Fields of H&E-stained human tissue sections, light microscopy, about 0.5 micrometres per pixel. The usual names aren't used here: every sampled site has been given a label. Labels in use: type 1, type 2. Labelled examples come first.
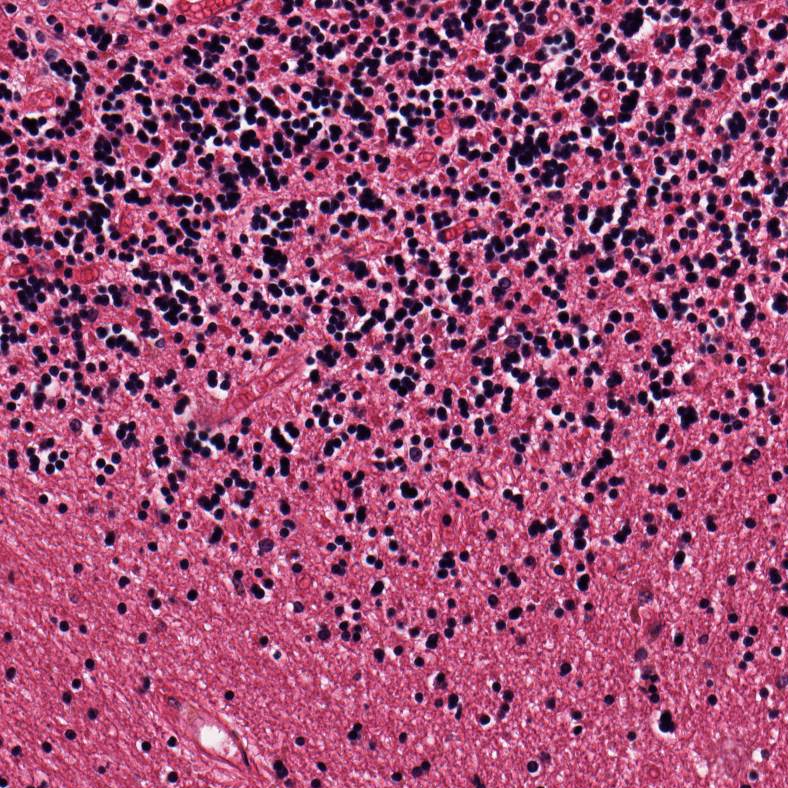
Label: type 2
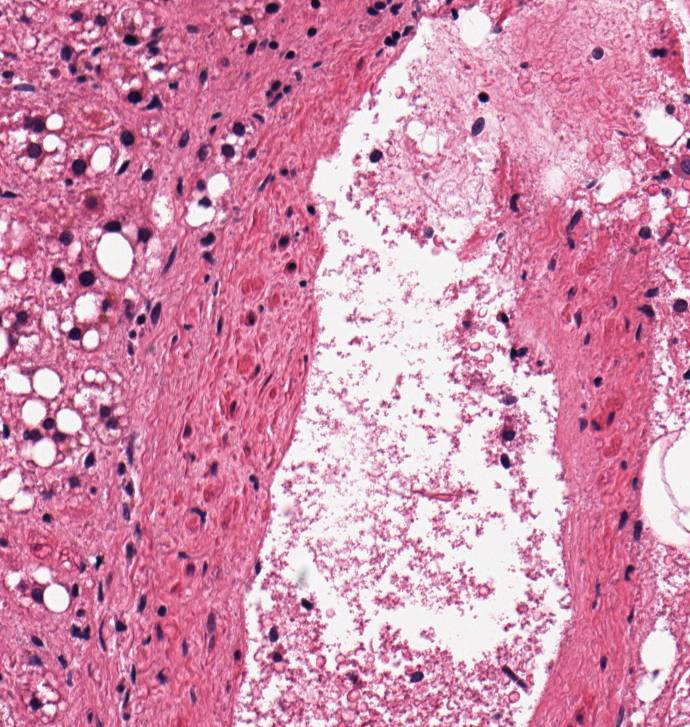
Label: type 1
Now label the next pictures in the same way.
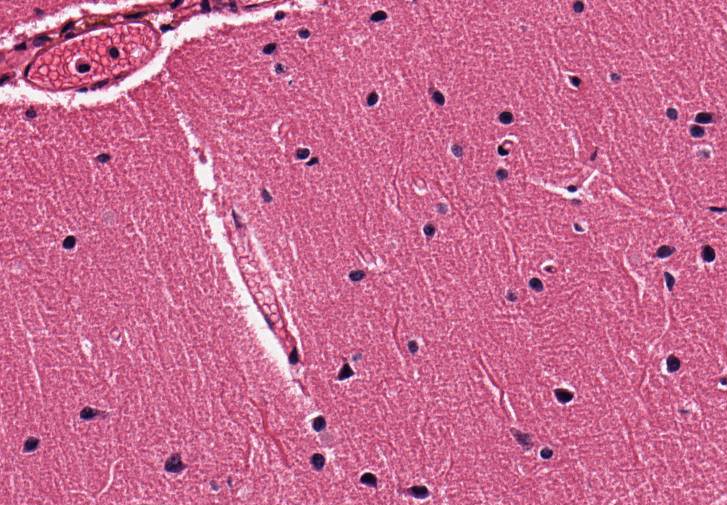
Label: type 2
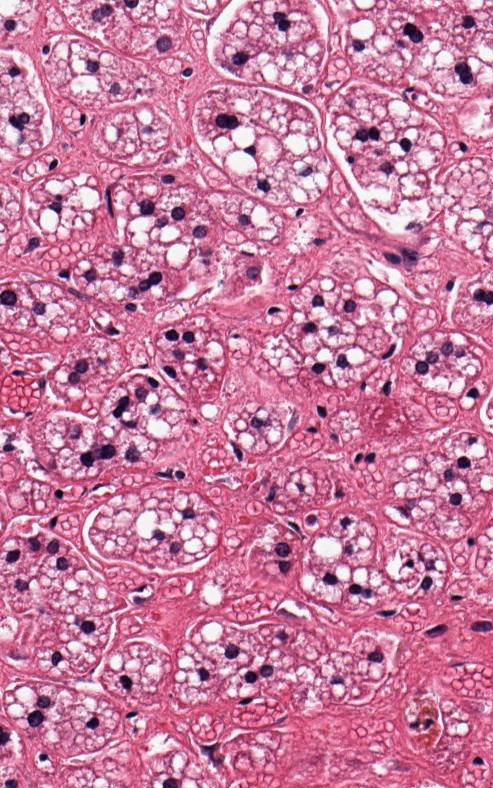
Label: type 1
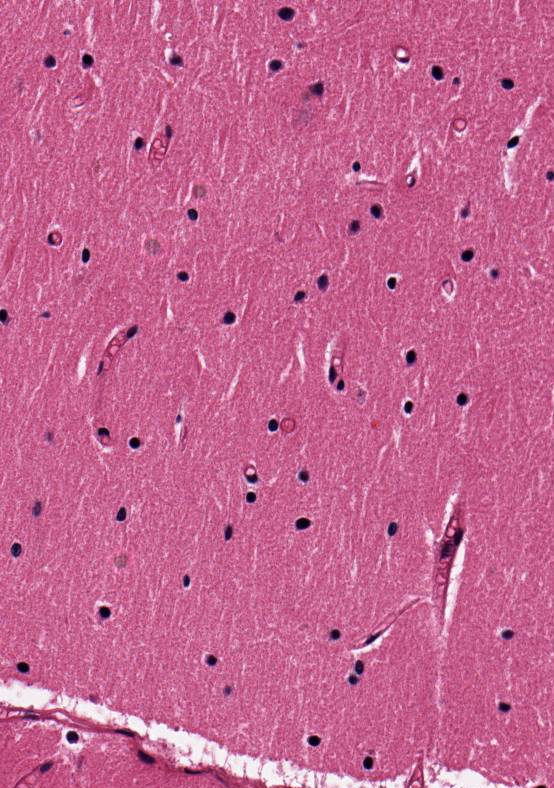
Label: type 2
